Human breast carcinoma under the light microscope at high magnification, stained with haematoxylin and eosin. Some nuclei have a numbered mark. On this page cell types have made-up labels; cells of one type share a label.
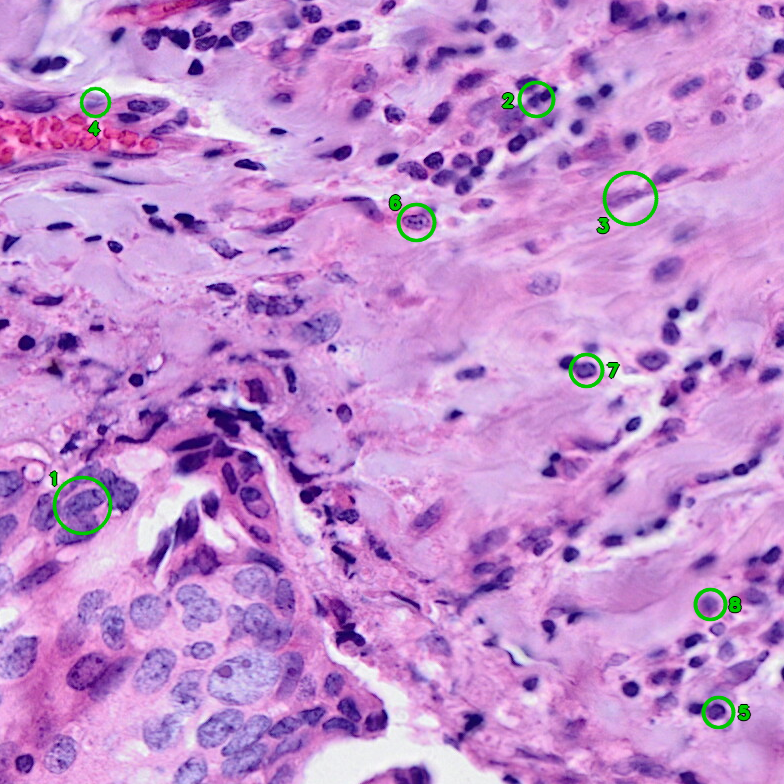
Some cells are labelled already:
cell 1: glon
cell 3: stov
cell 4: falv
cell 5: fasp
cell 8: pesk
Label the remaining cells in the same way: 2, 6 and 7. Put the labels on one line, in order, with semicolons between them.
fasp; pesk; fasp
